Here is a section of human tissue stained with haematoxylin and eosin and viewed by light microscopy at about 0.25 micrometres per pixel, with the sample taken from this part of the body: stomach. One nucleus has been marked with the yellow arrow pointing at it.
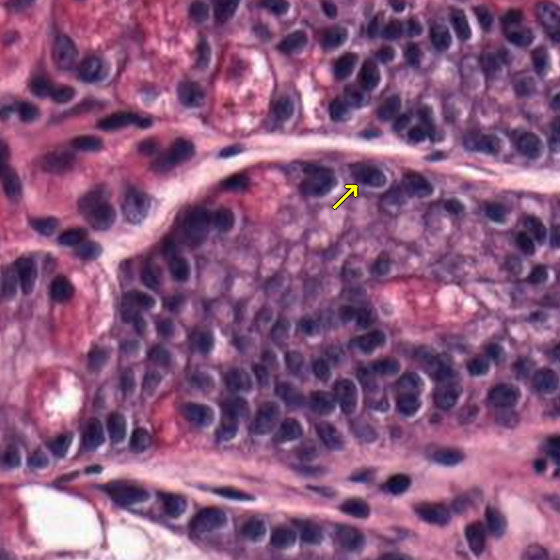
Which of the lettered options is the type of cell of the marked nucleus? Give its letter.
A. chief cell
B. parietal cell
A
